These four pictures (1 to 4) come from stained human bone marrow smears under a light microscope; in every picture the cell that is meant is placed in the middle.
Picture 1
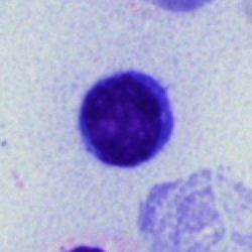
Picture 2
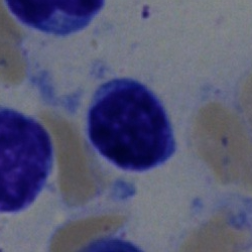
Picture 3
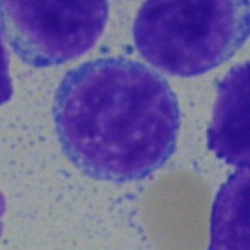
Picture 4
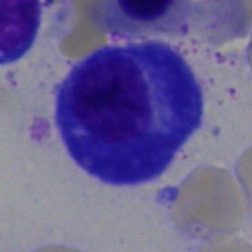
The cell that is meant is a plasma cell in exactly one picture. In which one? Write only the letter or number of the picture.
4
